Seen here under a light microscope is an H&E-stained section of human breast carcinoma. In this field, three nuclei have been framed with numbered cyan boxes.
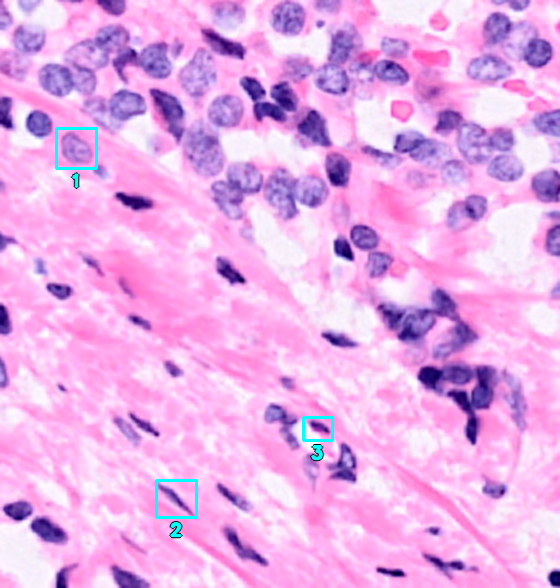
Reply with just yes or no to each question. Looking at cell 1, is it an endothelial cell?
no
